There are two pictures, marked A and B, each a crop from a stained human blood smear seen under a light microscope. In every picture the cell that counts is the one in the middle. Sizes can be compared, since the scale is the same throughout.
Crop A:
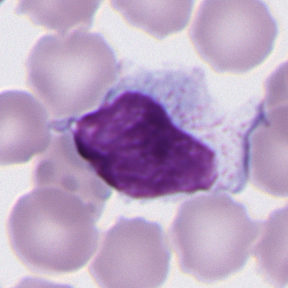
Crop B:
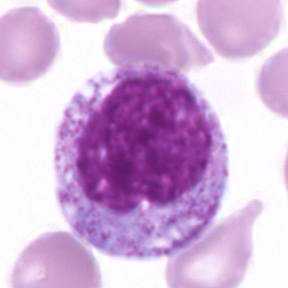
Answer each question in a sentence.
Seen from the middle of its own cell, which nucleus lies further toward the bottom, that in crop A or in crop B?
It is the nucleus in crop A that lies further toward the bottom of its cell.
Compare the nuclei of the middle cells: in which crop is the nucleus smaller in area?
The nucleus in crop A is smaller; the one in crop B has about 1.5 times its area.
